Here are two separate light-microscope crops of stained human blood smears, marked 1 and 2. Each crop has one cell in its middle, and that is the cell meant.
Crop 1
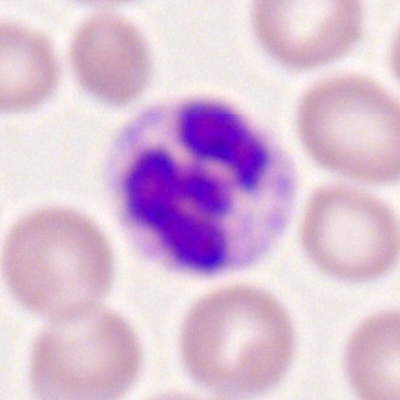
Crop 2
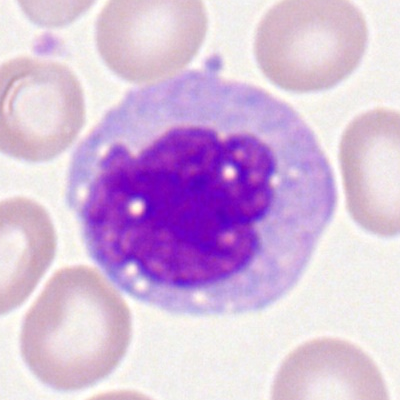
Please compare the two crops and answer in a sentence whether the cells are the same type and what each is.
No, the cell of interest in crop 1 is a neutrophil, and in crop 2 it is a monocyte.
